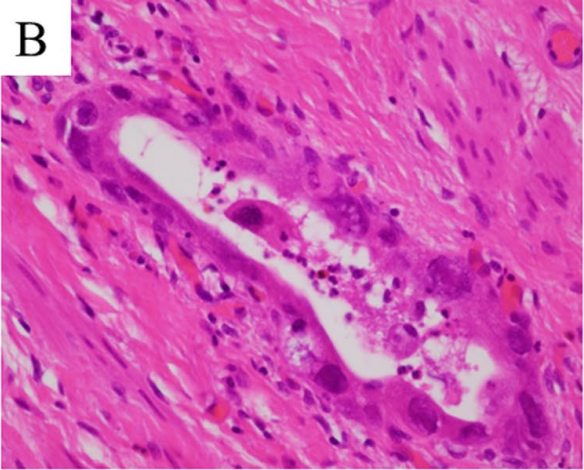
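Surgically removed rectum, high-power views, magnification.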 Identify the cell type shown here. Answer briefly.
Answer: Cancer cells.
